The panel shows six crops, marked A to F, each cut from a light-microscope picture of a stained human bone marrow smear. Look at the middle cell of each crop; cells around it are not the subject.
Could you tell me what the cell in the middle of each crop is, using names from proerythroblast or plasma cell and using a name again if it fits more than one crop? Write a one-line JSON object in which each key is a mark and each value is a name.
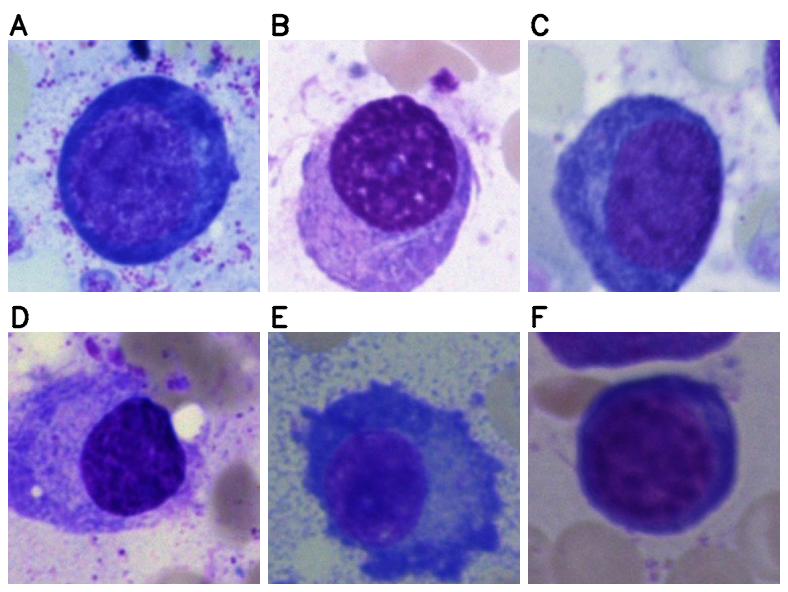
{"A": "proerythroblast", "B": "plasma cell", "C": "proerythroblast", "D": "plasma cell", "E": "plasma cell", "F": "proerythroblast"}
